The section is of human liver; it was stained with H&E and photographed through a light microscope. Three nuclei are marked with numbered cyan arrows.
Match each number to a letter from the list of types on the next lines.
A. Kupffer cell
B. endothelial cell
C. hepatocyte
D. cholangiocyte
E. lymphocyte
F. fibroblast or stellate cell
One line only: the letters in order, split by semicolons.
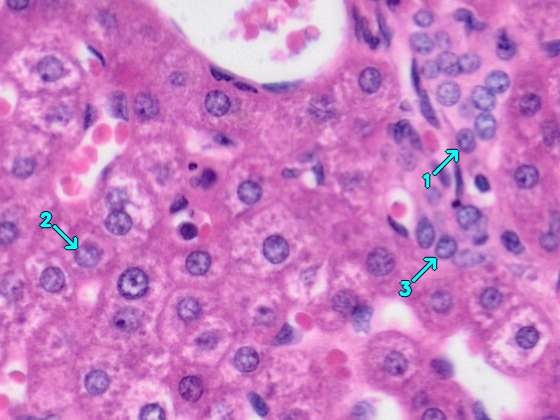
D; C; D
